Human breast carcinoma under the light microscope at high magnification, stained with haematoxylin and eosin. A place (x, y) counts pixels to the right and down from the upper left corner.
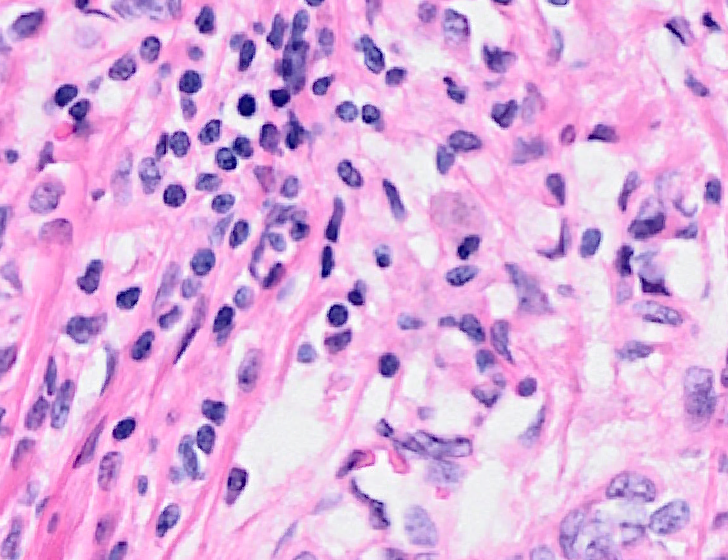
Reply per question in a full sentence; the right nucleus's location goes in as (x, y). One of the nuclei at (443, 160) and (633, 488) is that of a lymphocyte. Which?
Of the two nuclei present, the one at (443, 160) is within a lymphocyte.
